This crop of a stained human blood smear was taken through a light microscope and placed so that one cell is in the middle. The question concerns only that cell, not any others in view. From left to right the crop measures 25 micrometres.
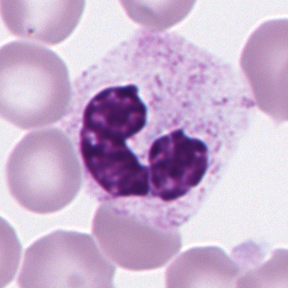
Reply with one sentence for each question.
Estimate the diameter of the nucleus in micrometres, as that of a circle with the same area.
The diameter of the nucleus comes to about 9 micrometres.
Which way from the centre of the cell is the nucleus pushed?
Seen from the middle of the cell, the nucleus lies toward the lower left.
